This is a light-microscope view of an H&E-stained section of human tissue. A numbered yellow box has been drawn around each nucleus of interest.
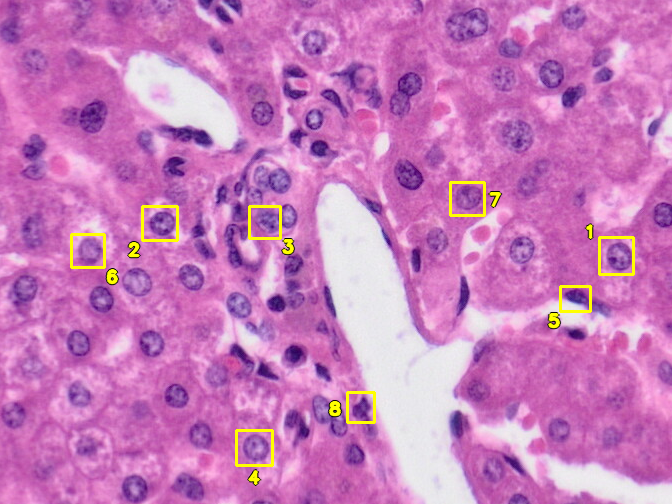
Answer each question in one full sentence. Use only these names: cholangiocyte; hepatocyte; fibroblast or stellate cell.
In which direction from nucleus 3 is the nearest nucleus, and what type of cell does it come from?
A cholangiocyte lies closest, to the right of nucleus 3.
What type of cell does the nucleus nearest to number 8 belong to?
The nucleus nearest to number 8 is that of a fibroblast or stellate cell.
